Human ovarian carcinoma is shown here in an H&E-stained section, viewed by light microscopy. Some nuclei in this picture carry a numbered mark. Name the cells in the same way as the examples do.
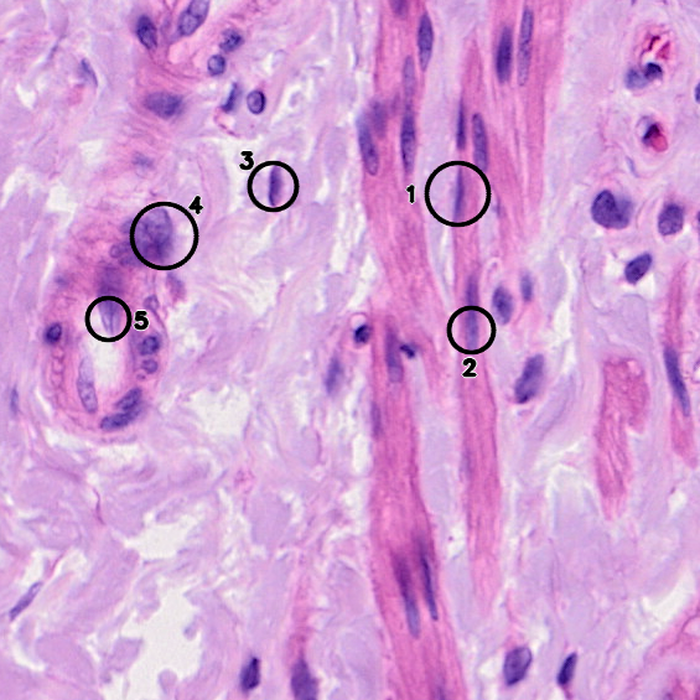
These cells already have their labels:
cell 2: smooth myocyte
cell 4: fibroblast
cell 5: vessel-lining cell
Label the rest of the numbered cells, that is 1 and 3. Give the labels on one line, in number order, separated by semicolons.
smooth myocyte; fibroblast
